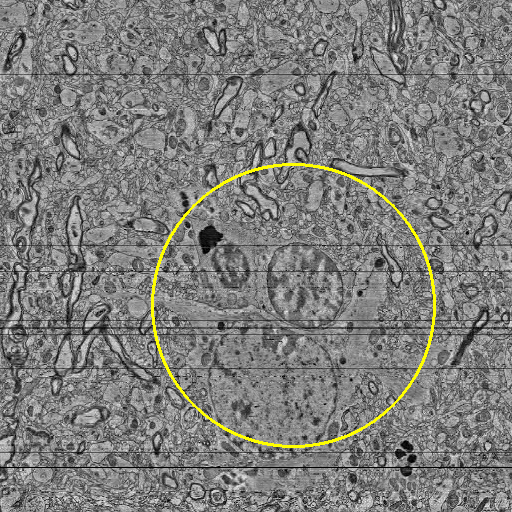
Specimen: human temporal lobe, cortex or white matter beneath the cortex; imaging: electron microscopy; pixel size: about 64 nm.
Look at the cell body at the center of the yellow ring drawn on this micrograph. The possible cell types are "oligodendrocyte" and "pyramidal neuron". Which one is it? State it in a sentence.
The cell in the middle of the ring is an oligodendrocyte.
